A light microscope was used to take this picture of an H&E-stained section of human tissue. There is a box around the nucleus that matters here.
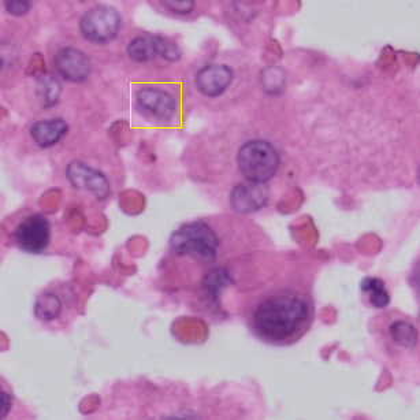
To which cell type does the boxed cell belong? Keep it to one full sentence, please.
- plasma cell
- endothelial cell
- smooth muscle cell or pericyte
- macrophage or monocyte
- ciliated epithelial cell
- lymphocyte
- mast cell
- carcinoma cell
As a matter of cell type, the boxed cell is a macrophage or monocyte.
